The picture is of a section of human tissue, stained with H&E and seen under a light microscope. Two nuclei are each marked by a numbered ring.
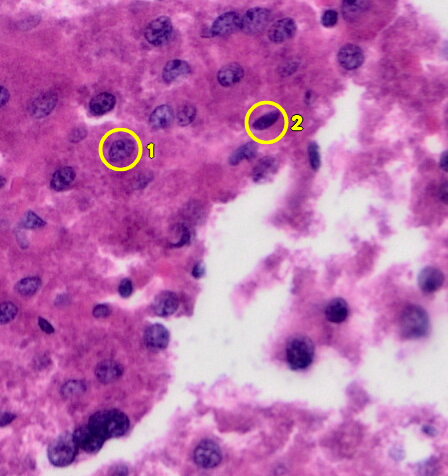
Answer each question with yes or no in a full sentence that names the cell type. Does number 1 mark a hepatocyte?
Yes, that is so; number 1 marks a hepatocyte.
